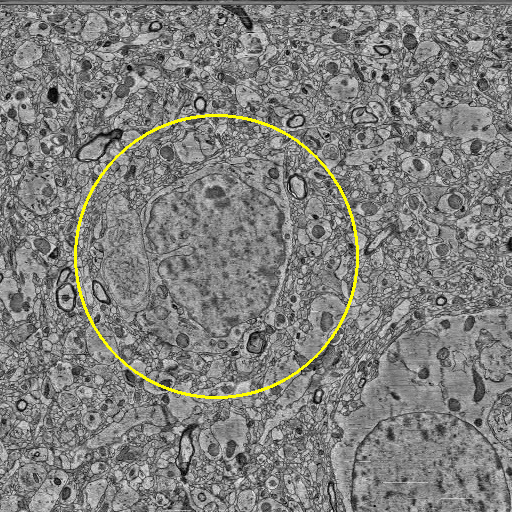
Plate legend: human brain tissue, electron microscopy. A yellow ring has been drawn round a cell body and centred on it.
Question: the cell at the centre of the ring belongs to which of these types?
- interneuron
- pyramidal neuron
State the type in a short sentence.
The cell in the middle of the ring is an interneuron.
